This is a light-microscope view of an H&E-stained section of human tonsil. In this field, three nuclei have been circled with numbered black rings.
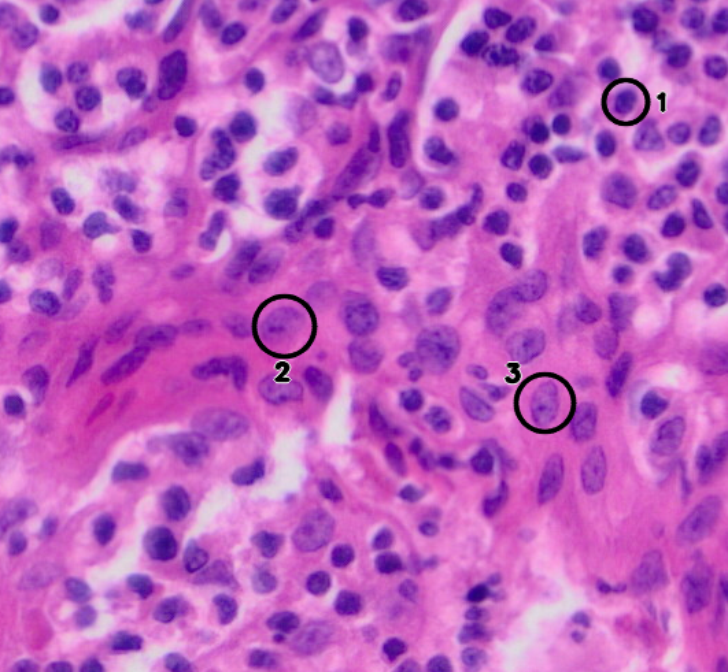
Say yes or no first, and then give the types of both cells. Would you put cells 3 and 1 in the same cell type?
No, cell 3 is a squamous epithelial cell; cell 1, by contrast, is a plasma cell.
